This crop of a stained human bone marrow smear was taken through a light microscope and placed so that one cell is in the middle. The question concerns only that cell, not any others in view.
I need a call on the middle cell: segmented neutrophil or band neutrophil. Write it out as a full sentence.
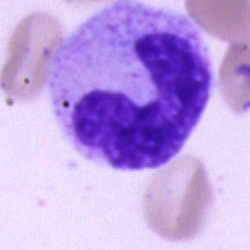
By type, the central cell of the crop is a band neutrophil.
